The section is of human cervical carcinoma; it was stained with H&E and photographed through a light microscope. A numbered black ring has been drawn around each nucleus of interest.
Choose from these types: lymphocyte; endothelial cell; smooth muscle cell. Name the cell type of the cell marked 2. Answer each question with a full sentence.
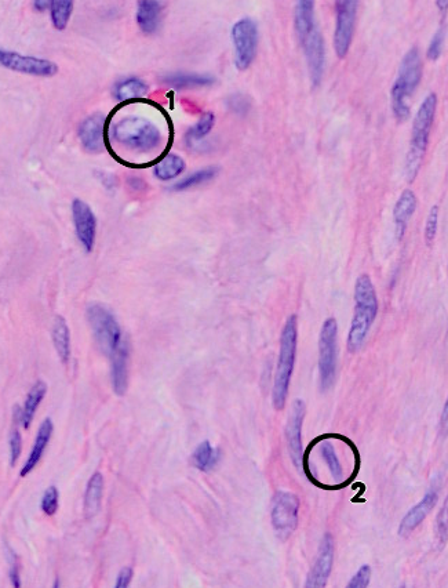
Of the numbered cells, the one labelled 2 is a smooth muscle cell.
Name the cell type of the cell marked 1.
The cell tagged with 1 in this tissue section is an endothelial cell.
